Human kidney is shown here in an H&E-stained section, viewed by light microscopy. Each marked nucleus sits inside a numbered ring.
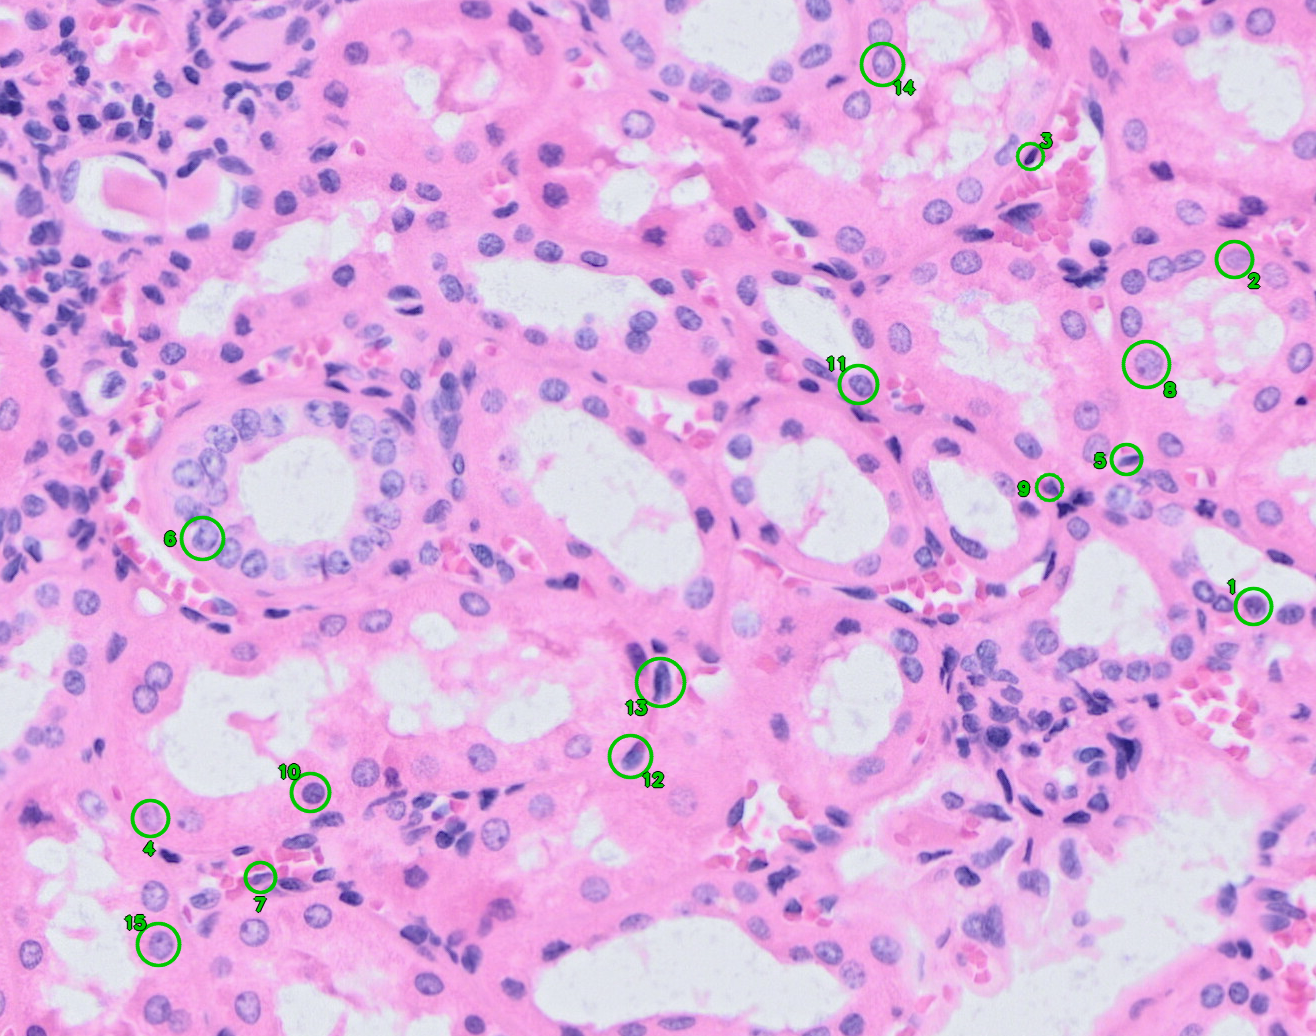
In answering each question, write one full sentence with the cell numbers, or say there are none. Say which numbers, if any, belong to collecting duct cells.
As for the cells numbered 1, 6 and 11, they are collecting duct cells.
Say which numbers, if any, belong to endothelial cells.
The cells numbered 3, 5, 7, 9, 12 and 13 fall into the category of endothelial cells.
